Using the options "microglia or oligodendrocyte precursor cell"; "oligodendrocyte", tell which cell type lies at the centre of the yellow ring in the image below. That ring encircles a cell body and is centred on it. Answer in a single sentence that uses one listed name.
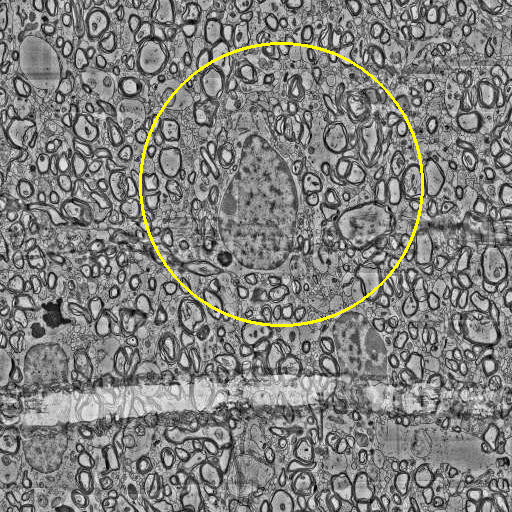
At the centre of the yellow ring lies the body of a microglial cell or oligodendrocyte precursor cell.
